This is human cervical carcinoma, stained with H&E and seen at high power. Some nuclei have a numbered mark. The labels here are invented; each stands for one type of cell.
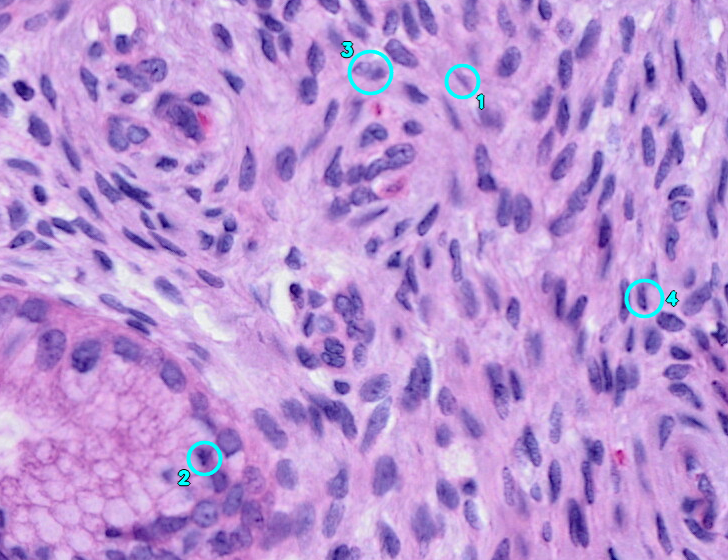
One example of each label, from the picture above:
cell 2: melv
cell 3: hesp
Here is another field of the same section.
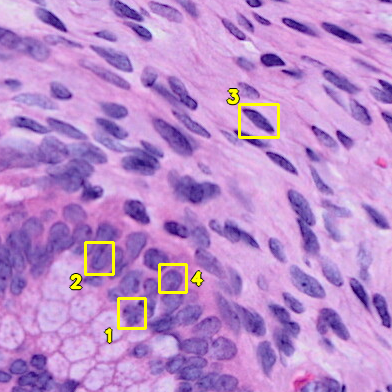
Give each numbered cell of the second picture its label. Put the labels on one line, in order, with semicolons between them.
melv; melv; hesp; melv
